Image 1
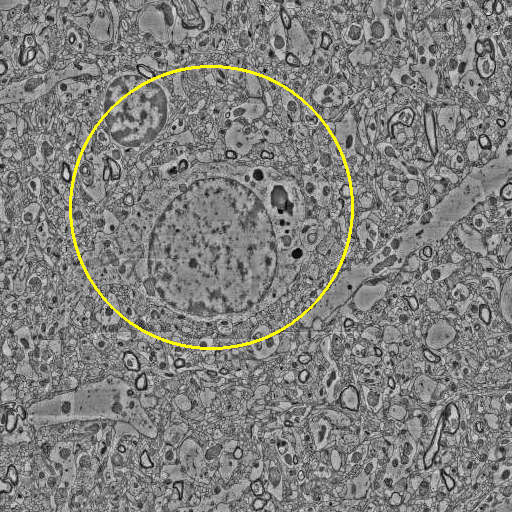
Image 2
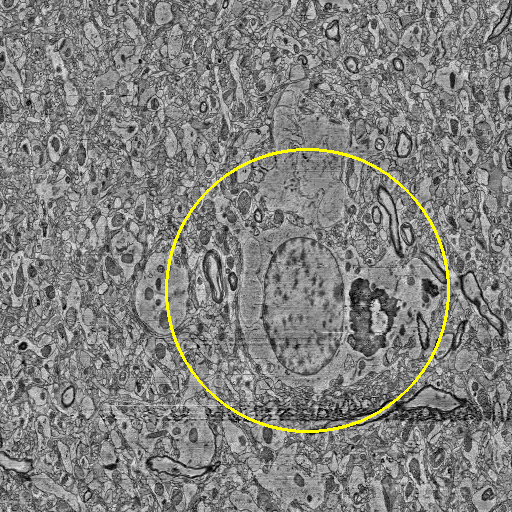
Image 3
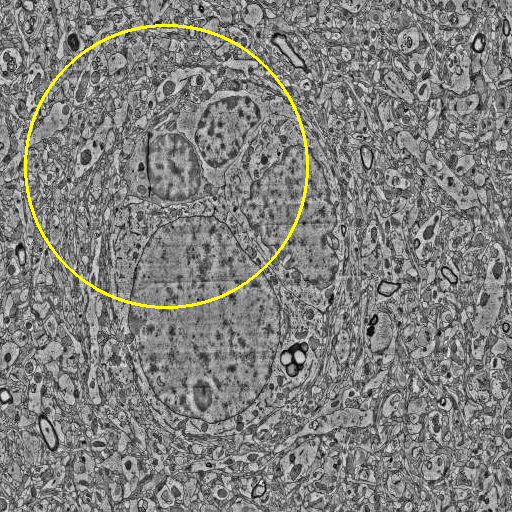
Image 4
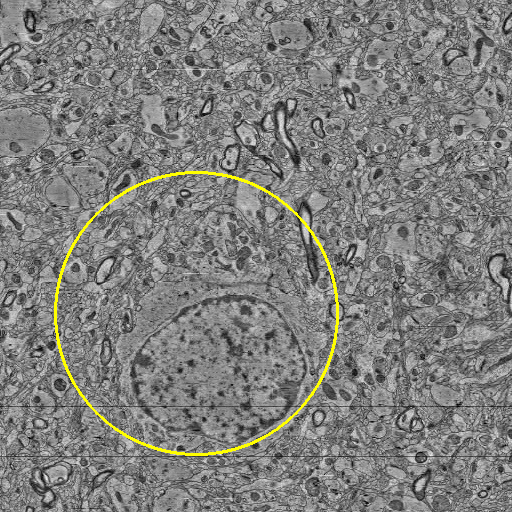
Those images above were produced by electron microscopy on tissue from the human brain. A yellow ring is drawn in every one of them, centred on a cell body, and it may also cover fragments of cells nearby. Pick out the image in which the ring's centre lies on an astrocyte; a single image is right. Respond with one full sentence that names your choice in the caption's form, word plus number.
Image 2 is my choice: its ring is centred on the requested cell.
